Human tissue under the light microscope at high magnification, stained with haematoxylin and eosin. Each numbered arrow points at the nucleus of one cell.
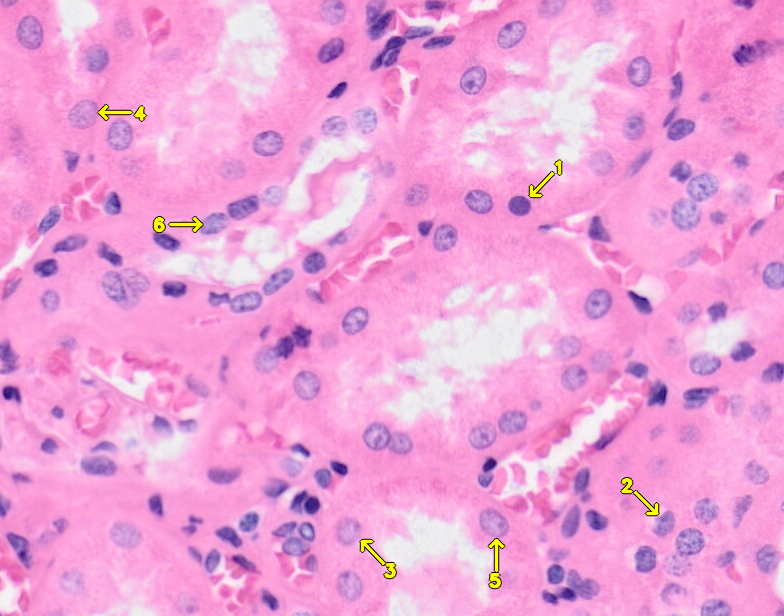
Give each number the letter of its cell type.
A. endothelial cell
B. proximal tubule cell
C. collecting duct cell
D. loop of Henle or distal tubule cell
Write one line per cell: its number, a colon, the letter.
1: B
2: D
3: B
4: B
5: B
6: C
